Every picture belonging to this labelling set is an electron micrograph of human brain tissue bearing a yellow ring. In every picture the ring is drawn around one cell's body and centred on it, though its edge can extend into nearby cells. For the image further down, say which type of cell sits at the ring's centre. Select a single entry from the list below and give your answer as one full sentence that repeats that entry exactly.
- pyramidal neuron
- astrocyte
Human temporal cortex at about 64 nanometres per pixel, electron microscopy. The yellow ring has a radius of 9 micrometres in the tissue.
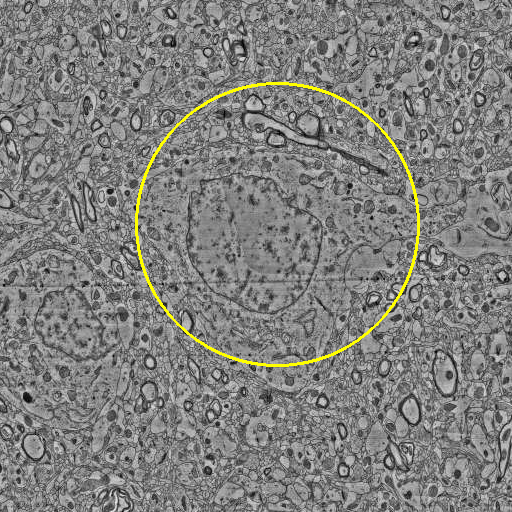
In the picture, a pyramidal neuron is the cell at the centre of the yellow ring.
